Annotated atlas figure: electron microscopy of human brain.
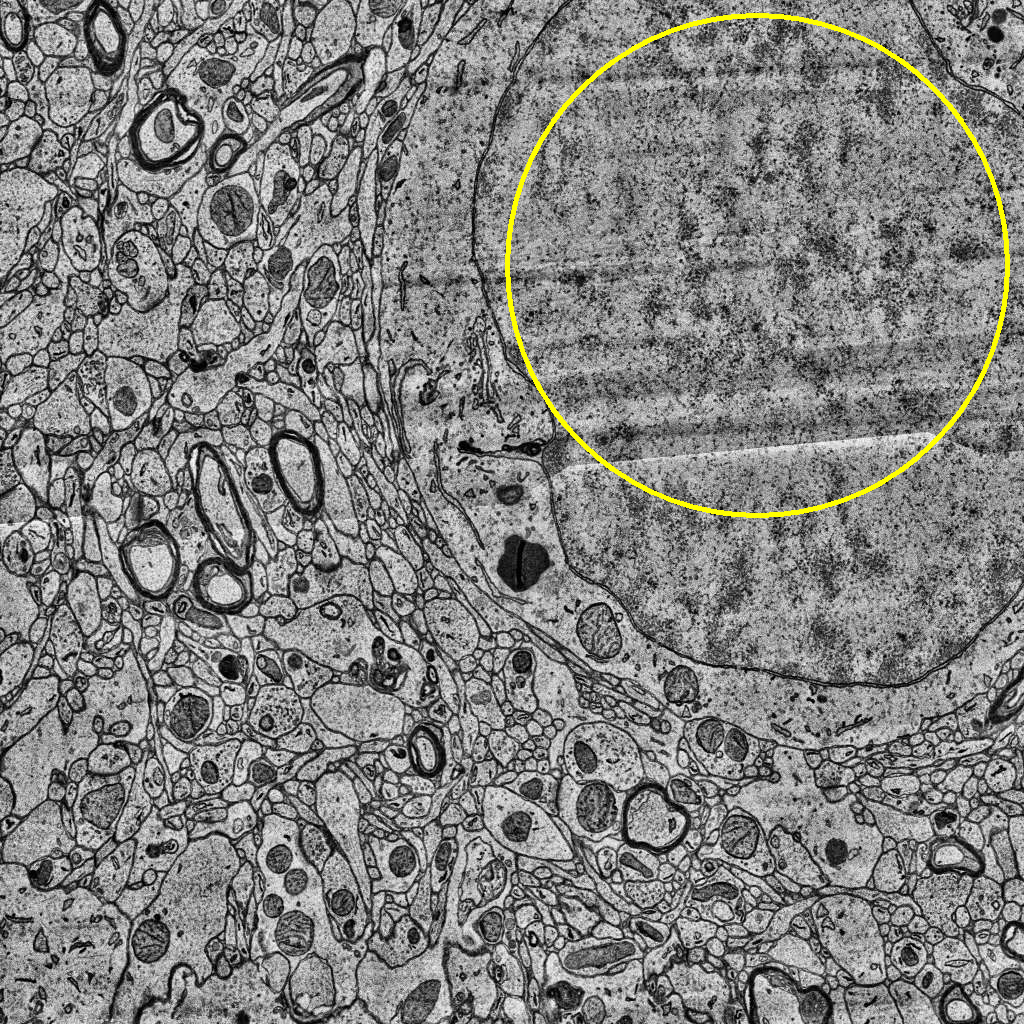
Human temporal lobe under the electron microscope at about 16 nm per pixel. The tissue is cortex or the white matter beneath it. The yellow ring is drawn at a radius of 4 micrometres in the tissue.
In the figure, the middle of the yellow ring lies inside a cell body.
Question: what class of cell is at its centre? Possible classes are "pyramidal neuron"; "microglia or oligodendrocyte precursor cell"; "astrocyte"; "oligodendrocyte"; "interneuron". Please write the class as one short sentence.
The yellow ring's centre lies in a pyramidal neuron.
